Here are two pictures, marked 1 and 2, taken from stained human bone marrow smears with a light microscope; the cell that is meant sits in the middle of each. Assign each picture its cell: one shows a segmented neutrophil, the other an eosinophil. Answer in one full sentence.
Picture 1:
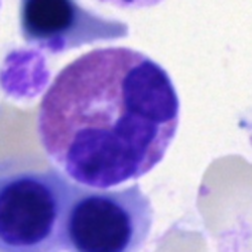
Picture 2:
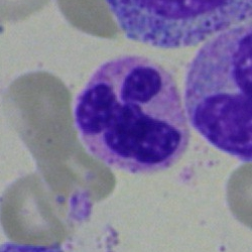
It is picture 1 that shows an eosinophil, and picture 2 that shows a segmented neutrophil.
